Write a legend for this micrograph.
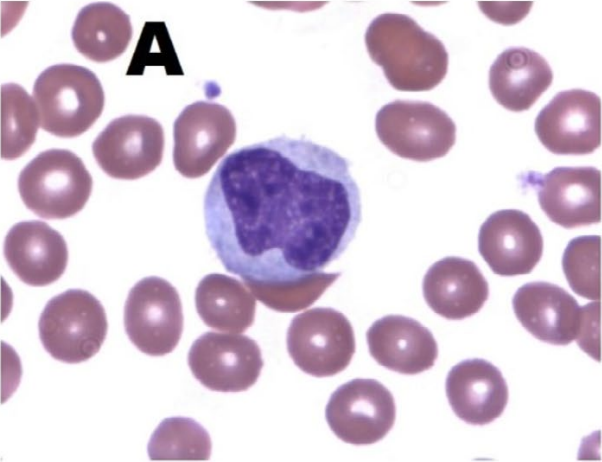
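This is a single monocyte in a blood smear, surrounded by red blood cells that are much smaller than it. A rim of pale grey-blue cytoplasm surrounds the nucleus.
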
